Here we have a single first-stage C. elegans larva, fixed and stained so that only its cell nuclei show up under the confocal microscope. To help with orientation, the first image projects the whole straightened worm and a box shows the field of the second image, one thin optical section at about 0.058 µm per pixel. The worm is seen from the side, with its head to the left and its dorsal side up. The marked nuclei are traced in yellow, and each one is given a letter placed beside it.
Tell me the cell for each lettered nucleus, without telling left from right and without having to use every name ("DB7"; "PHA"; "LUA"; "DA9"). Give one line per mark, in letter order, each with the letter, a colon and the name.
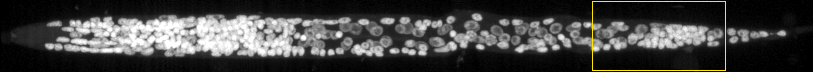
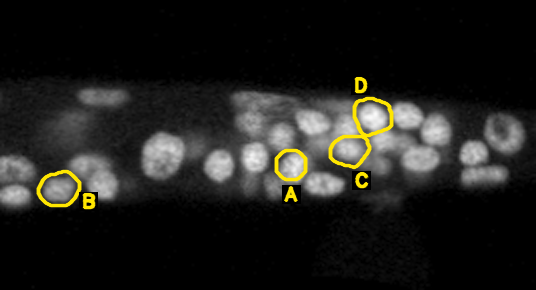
A: DA9
B: DB7
C: PHA
D: LUA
